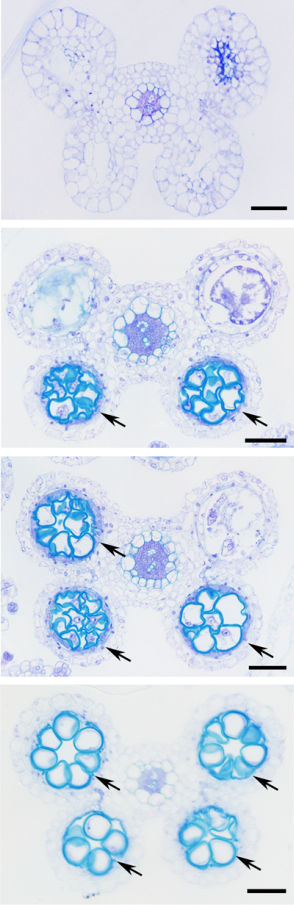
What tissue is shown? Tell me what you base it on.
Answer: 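Each section shows four rounded lobes around a central strand. The central strand holds a small cluster of densely stained cells like a vascular bundle. The lobes are hollow chambers, some holding grains.
Anthers.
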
